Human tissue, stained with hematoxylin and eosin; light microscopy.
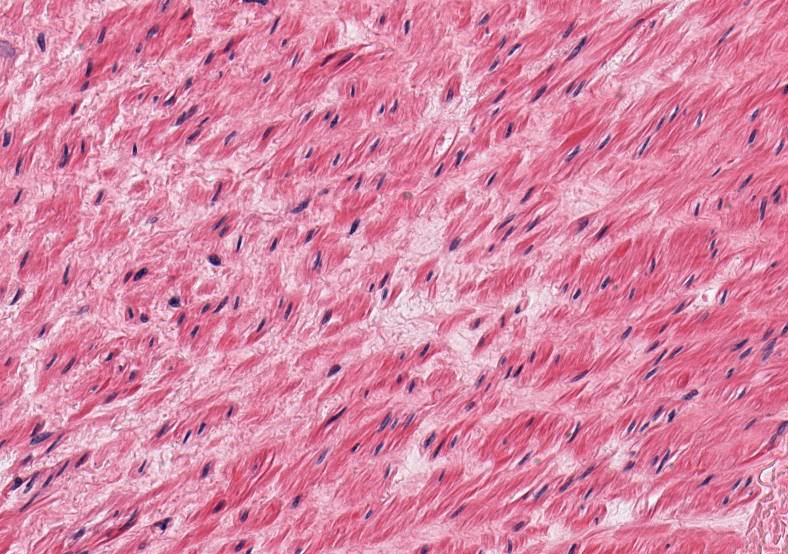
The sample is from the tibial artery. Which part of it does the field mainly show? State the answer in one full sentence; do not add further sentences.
The human tissue part in this section is tunica media.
